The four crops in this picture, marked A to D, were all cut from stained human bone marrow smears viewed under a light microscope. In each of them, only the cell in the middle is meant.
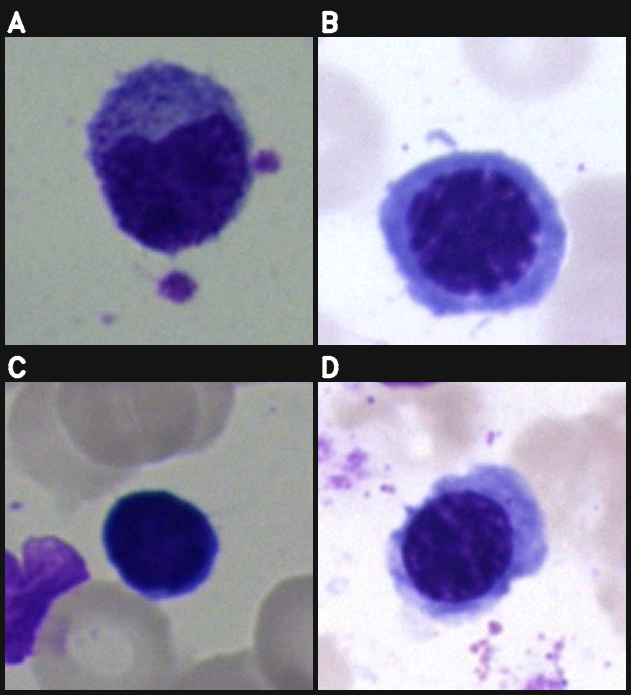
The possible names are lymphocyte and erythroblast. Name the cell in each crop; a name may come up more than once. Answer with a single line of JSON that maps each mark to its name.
{"A": "lymphocyte", "B": "erythroblast", "C": "lymphocyte", "D": "erythroblast"}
